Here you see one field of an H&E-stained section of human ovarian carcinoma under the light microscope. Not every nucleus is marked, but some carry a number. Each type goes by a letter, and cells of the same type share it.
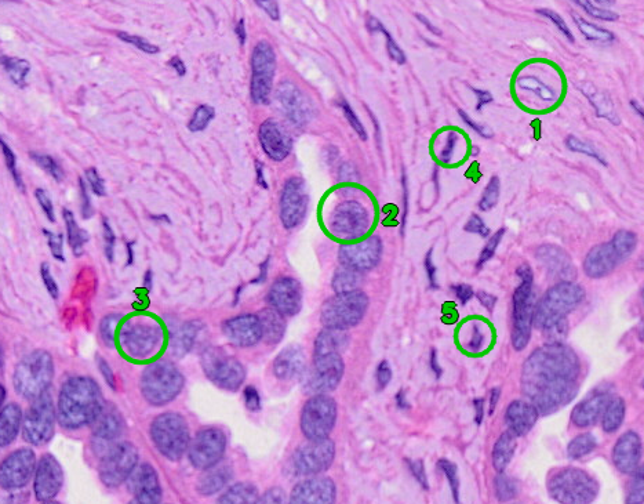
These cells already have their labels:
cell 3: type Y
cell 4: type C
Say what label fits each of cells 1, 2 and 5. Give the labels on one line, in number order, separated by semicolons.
type C; type Y; type C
